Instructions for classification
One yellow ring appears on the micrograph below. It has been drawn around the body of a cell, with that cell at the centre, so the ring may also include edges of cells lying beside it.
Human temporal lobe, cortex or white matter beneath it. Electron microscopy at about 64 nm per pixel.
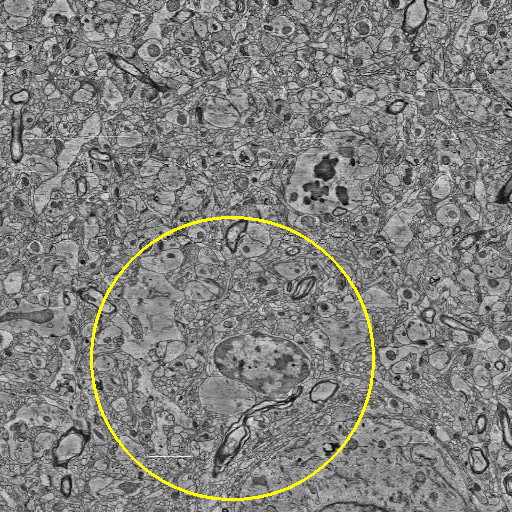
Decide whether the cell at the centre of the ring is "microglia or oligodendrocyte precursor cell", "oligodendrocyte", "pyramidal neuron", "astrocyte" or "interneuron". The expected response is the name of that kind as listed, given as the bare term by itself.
microglia or oligodendrocyte precursor cell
